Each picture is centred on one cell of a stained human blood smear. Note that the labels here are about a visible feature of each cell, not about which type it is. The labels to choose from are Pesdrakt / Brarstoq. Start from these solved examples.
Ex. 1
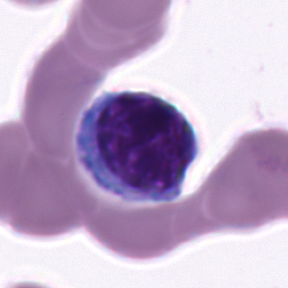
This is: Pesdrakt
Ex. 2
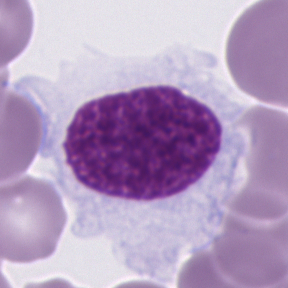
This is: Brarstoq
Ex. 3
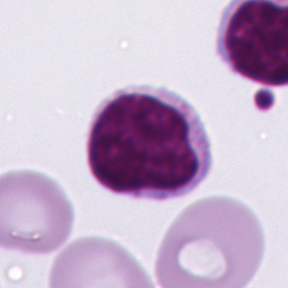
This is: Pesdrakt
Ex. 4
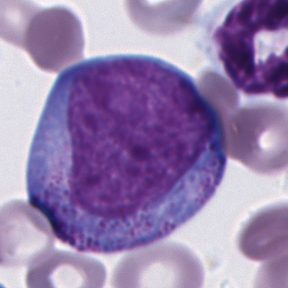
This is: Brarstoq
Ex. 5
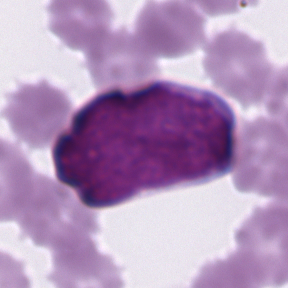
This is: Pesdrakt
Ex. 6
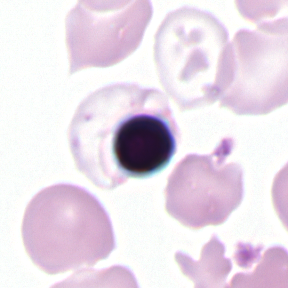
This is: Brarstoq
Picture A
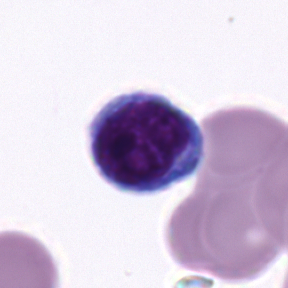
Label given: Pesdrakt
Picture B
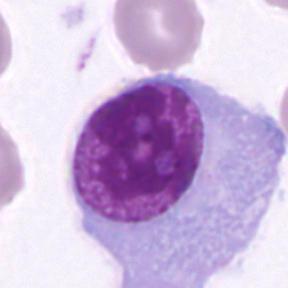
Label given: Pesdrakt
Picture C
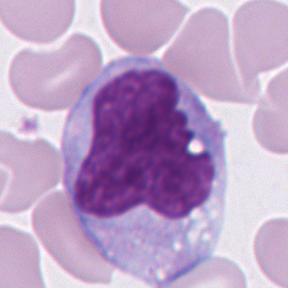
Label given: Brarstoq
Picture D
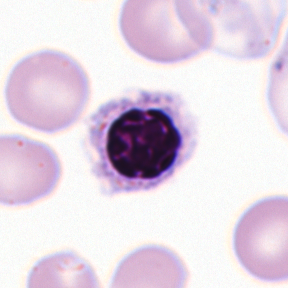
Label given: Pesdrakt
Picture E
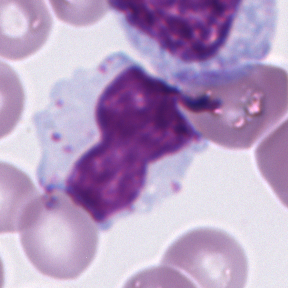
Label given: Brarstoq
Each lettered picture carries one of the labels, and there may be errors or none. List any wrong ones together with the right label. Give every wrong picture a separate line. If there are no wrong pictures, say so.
B: change Pesdrakt to Brarstoq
